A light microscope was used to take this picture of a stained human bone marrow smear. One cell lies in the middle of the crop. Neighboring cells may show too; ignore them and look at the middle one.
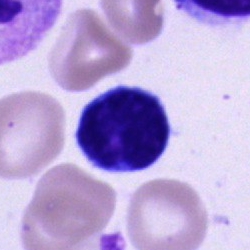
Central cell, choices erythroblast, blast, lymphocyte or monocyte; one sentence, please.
Centred in the crop is a lymphocyte.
